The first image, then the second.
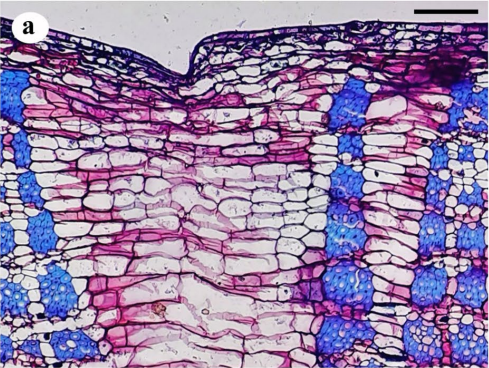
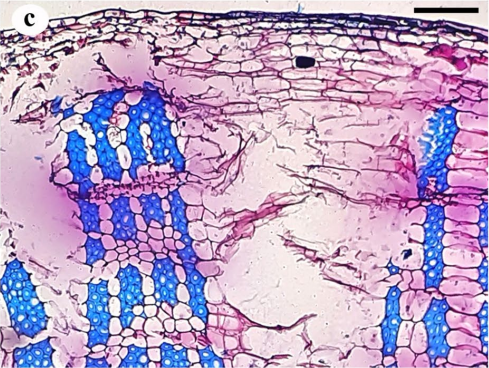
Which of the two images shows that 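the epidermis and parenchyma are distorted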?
The second image.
